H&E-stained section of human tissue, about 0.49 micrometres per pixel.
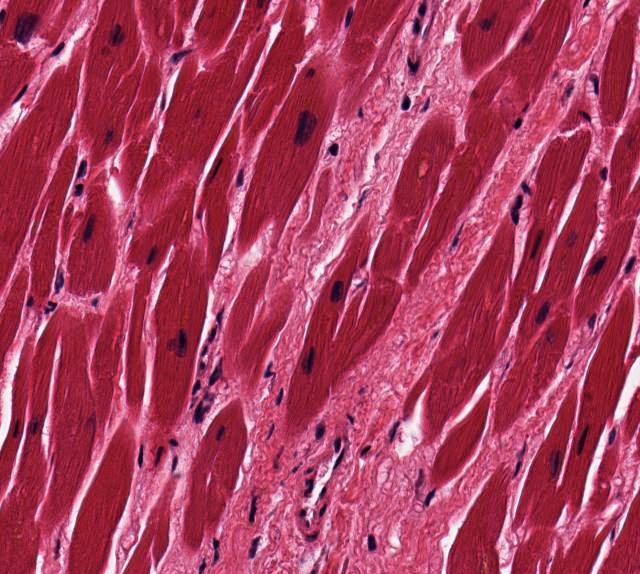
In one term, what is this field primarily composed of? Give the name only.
myocardium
